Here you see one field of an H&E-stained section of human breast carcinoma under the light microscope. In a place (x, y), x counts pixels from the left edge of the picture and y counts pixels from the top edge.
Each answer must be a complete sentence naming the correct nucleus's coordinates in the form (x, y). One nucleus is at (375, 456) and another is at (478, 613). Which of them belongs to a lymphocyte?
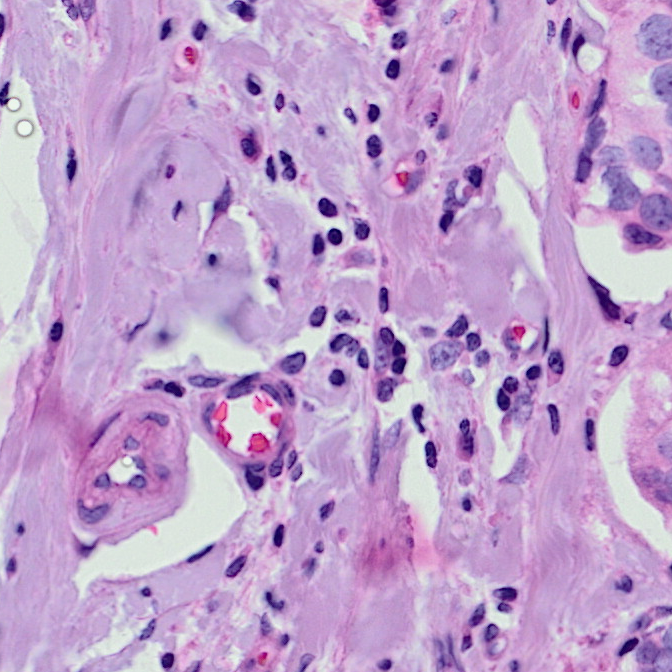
Heads up, the nucleus at (478, 613) is the one that belongs to a lymphocyte.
